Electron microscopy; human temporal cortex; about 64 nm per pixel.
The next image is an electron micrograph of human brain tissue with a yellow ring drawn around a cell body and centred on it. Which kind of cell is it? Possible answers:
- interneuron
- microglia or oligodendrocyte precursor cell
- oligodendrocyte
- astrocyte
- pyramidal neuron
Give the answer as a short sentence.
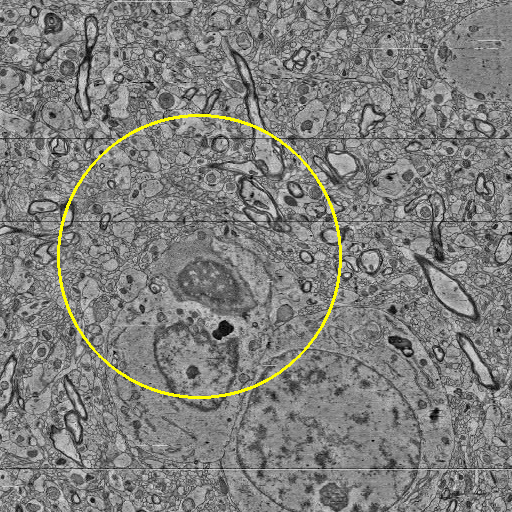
In the ring's centre is an oligodendrocyte.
